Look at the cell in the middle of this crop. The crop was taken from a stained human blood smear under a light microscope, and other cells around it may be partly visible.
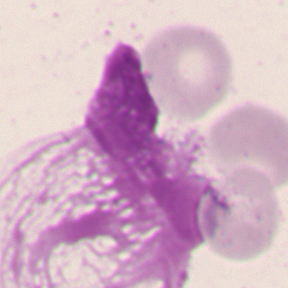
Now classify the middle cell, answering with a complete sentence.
The crop's centre is taken up by a smudge cell.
